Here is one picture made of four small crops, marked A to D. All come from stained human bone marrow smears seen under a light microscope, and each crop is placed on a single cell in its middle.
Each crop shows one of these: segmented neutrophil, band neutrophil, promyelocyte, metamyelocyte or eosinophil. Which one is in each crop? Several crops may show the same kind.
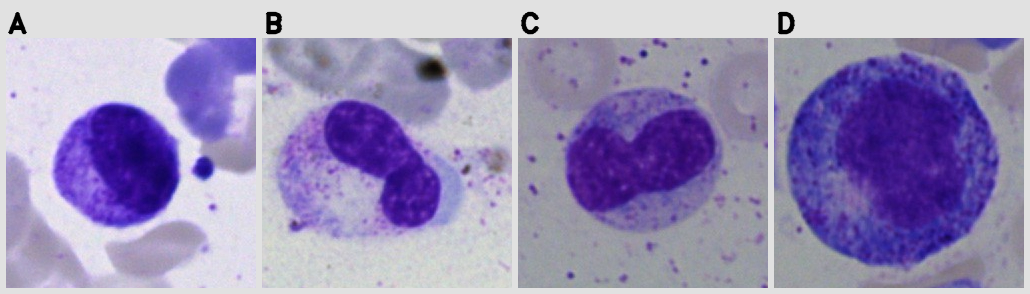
A: promyelocyte
B: band neutrophil
C: band neutrophil
D: promyelocyte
